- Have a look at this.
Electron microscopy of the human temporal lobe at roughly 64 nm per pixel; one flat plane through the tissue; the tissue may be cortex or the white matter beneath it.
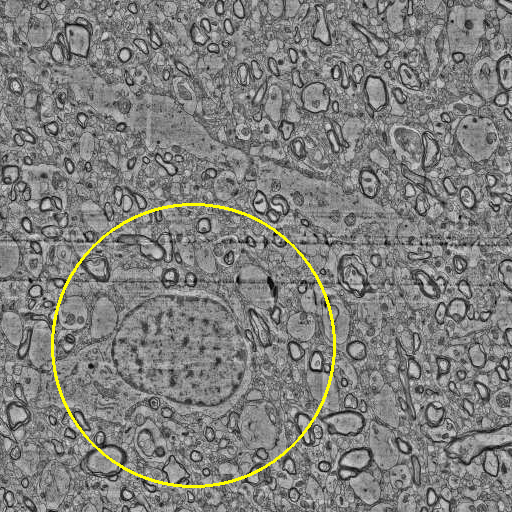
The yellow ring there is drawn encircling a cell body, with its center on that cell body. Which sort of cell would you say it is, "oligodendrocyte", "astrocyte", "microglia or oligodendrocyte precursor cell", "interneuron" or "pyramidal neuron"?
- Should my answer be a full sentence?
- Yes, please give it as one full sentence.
For this picture, a microglial cell or oligodendrocyte precursor cell is the cell where the yellow ring has its center.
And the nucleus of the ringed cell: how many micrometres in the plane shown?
In this plane, the nucleus is roughly 9 by 7 micrometres.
